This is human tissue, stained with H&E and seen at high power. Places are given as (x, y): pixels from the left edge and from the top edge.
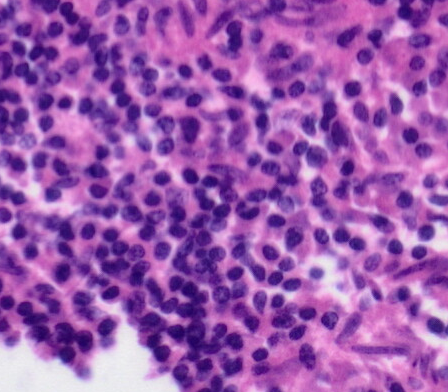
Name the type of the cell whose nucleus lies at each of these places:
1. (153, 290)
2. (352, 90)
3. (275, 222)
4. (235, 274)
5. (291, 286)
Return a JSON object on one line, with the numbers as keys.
{"1": "small lymphocyte", "2": "plasma cell", "3": "plasma cell", "4": "small lymphocyte", "5": "small lymphocyte"}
